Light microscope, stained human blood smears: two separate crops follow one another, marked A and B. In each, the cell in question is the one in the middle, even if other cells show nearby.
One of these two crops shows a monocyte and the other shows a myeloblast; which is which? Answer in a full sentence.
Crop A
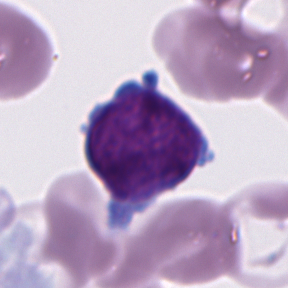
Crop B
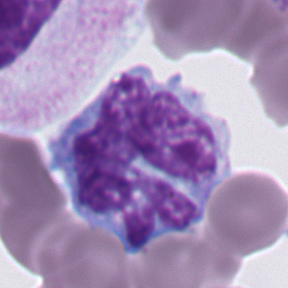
Crop A is a myeloblast, whereas a monocyte is found in crop B.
